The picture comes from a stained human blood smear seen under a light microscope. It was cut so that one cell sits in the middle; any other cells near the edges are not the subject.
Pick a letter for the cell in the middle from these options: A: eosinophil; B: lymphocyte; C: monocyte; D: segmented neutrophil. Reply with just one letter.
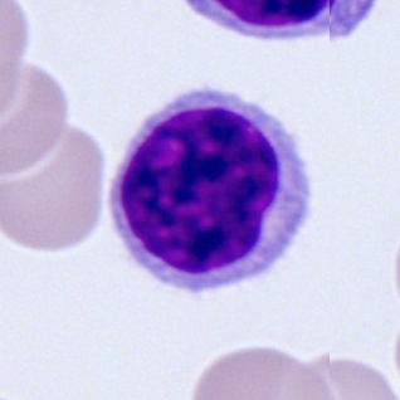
B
